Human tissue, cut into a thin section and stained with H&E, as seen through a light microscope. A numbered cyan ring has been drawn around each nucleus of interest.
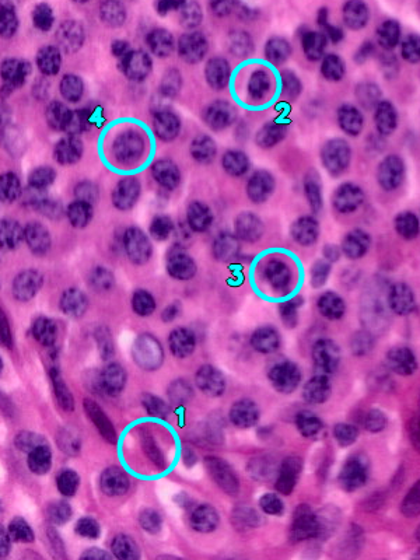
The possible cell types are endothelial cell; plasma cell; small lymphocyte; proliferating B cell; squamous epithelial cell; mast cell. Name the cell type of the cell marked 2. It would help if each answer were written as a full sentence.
The one numbered 2 among the marked cells is a plasma cell.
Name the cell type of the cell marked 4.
Cell 4, among those numbered, is a plasma cell.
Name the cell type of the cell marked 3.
The nucleus with number 3 is that of a plasma cell.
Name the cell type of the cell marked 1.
Denoted by the label 1 in the section is a squamous epithelial cell.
